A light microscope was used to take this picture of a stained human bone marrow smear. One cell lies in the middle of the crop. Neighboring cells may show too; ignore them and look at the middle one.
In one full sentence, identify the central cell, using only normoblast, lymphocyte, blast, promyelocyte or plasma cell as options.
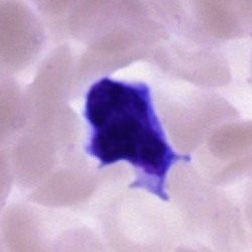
The middle position in this crop is taken by a lymphocyte.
